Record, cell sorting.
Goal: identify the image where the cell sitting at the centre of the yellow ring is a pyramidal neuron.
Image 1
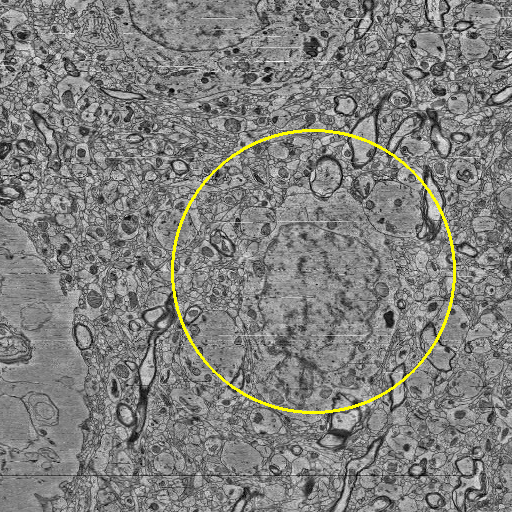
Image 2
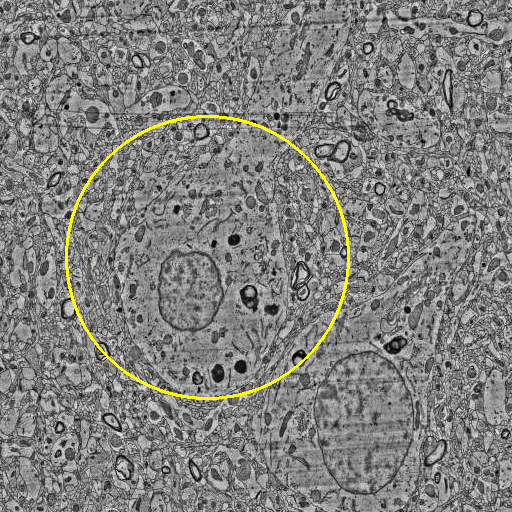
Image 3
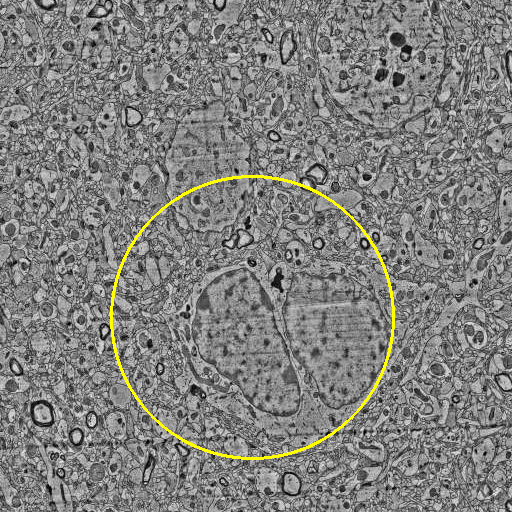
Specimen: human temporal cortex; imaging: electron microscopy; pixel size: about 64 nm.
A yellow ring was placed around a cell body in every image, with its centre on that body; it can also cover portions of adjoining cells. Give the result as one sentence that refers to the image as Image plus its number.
Image 2 shows the requested cell sitting right at the centre of its ring.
